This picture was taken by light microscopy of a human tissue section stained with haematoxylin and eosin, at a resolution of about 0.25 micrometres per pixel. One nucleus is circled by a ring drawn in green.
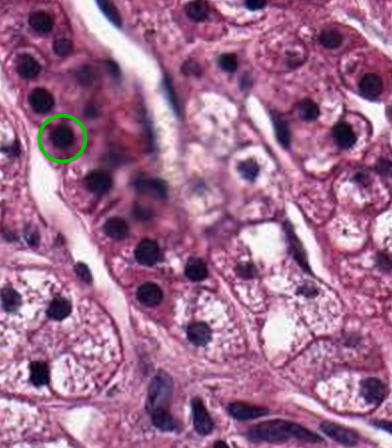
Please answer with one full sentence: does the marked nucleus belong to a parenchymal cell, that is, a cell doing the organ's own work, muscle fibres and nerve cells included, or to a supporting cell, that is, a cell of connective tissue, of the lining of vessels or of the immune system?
A parenchymal cell, namely an adrenal cortical cell, is the owner of the marked nucleus.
